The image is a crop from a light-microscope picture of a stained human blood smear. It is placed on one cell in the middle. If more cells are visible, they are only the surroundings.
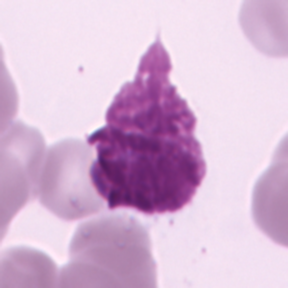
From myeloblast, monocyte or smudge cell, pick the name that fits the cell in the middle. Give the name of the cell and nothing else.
smudge cell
